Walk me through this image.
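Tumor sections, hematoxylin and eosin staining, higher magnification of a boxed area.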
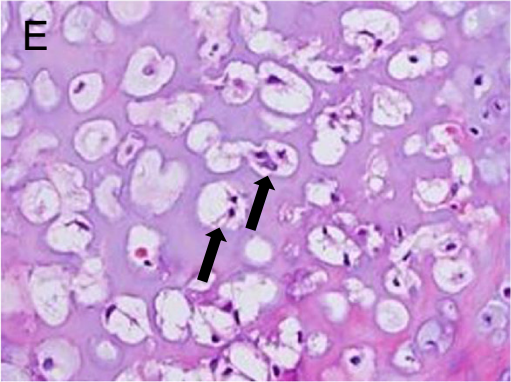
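This is a close view of cartilage packed with chondrocytes. Each cell lies in a clear, rounded lacuna set in a pink to lilac matrix, and the lacunae are crowded, touching or nearly touching one another. The lacunae vary in size and shape, some round, some irregular. Inside, the nuclei are dark purple and of uneven size, several larger than their neighbours, and a number of lacunae hold two nuclei side by side. Much of the cytoplasm has retracted, leaving the lacunae looking empty around the nuclei.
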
